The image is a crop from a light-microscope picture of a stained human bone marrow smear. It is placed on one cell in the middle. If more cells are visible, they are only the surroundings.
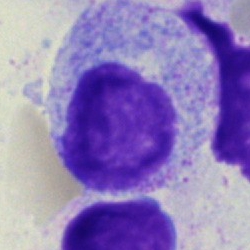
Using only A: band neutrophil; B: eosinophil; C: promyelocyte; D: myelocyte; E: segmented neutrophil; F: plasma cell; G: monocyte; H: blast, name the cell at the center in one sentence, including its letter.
Option D is accurate; the centrally placed cell is a myelocyte.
